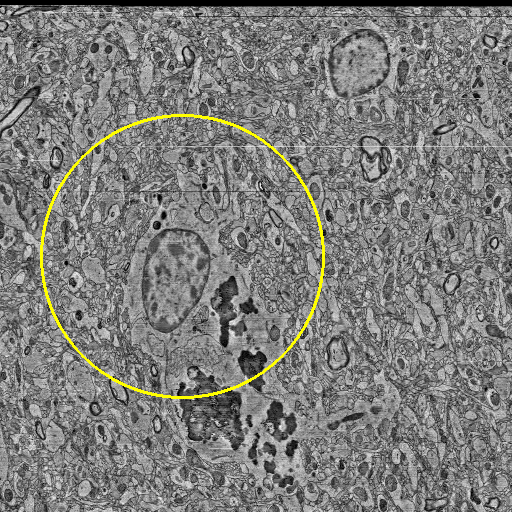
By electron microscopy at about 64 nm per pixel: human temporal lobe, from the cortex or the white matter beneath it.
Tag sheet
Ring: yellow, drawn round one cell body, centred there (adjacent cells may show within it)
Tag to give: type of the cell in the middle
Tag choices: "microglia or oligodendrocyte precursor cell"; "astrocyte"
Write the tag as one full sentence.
I tag the cell centred in the yellow ring as an astrocyte in this picture.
